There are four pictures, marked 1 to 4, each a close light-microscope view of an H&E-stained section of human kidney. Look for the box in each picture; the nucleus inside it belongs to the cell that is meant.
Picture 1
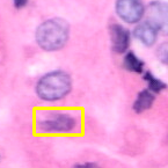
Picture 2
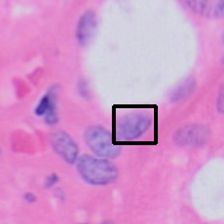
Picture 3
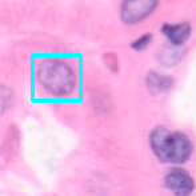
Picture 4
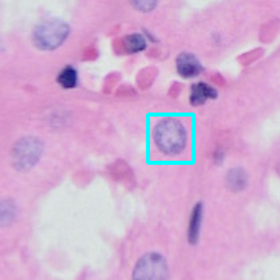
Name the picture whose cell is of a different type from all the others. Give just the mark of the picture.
2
